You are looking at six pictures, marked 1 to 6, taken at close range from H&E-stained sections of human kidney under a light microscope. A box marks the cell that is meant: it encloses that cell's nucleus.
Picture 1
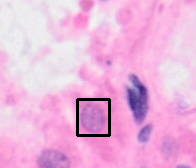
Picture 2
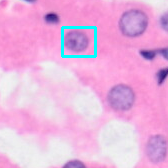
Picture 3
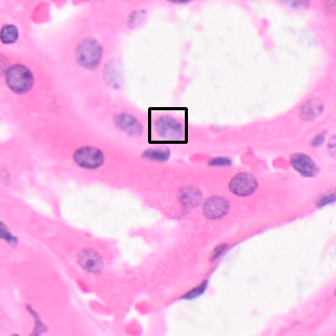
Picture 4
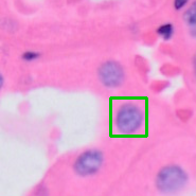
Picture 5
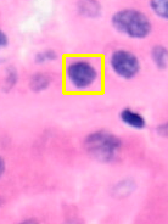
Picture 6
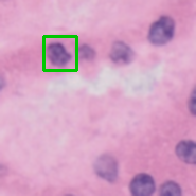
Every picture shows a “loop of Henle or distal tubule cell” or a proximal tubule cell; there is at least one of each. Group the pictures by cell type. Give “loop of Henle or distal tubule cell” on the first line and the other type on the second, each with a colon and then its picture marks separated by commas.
loop of Henle or distal tubule cell: 3, 4, 5
proximal tubule cell: 1, 2, 6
